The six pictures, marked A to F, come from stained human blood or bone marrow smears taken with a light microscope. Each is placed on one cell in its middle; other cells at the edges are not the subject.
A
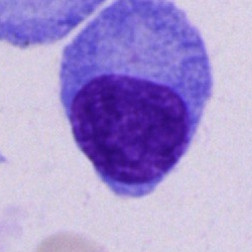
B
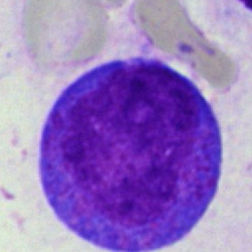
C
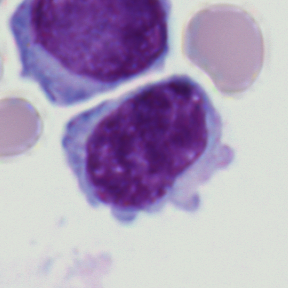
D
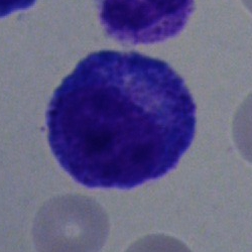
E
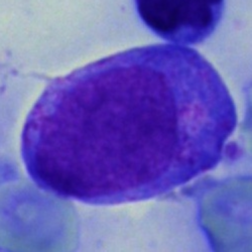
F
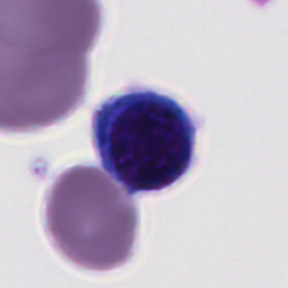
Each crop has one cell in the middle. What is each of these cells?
A: plasma cell
B: promyelocyte
C: plasma cell
D: promyelocyte
E: promyelocyte
F: plasma cell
